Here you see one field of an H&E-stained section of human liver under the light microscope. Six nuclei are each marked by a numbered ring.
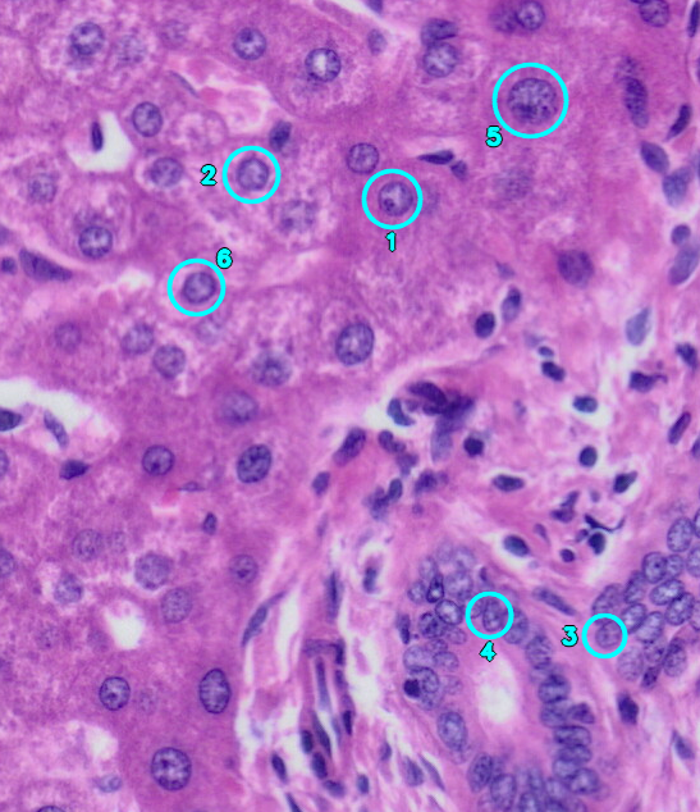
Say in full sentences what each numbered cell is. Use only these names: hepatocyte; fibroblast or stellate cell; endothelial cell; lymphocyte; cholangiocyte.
Cell 1 is a hepatocyte, cell 2 is a hepatocyte, cell 3 is a cholangiocyte, cell 4 is a cholangiocyte, cell 5 is a hepatocyte and cell 6 is a hepatocyte.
